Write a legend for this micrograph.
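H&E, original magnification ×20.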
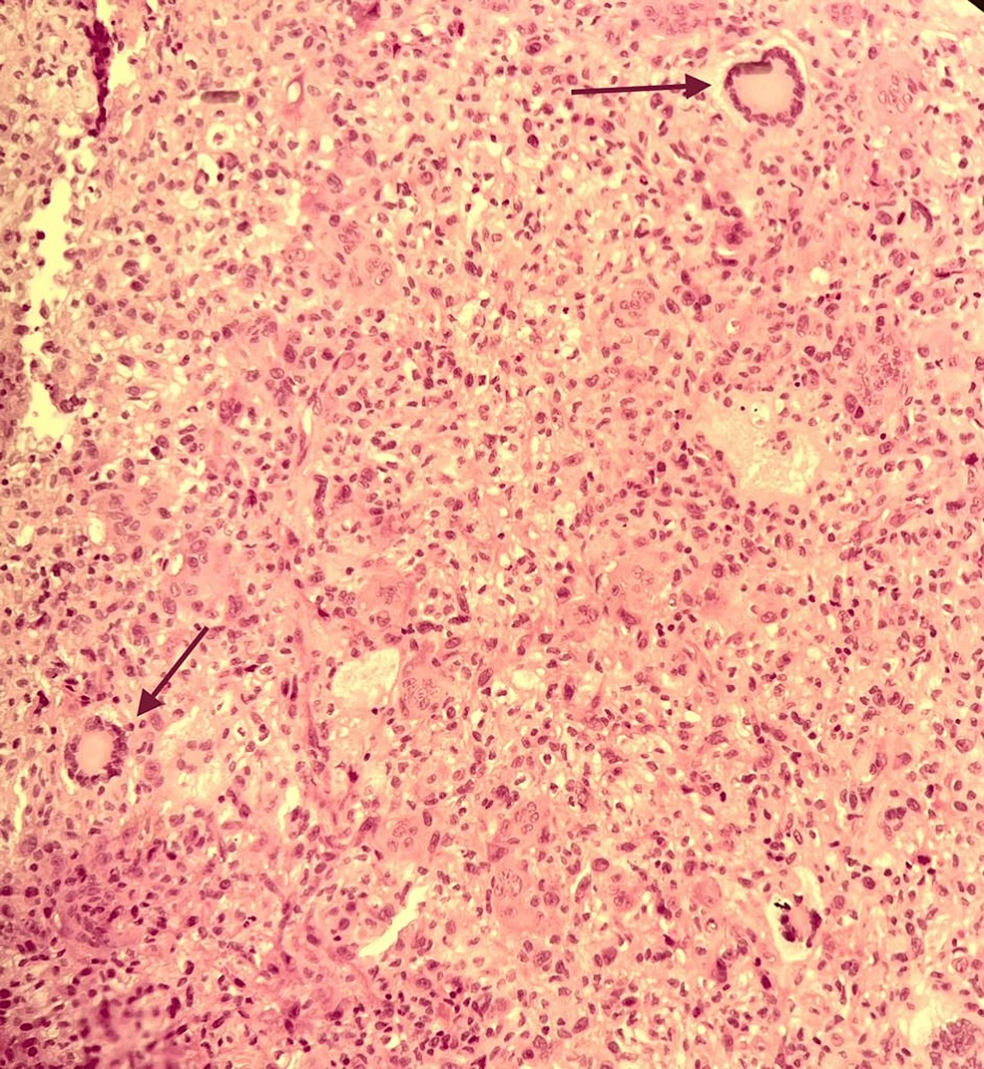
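This is a dense inflammatory reaction made of large histiocyte-like cells with abundant pale pink, partly vacuolated cytoplasm, among which many small cells with dark round nuclei are scattered. Several large multinucleated giant cells are present; two of them show a ring of nuclei arranged around a central homogeneous pale pink zone.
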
